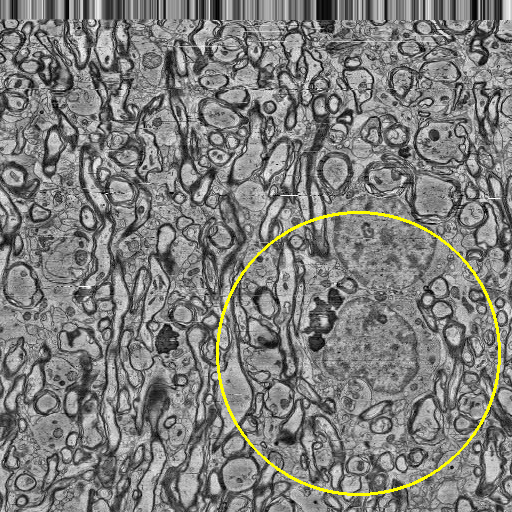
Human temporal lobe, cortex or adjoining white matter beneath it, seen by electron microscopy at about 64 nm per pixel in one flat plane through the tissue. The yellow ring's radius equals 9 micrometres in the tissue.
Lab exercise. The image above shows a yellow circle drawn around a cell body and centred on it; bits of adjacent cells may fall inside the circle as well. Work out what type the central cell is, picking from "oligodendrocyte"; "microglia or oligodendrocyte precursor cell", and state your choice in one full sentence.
In the image above, the cell at the centre of the yellow circle is an oligodendrocyte.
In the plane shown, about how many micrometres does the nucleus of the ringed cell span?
The ringed cell's nucleus measures approximately 7 by 6 micrometres in this plane.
